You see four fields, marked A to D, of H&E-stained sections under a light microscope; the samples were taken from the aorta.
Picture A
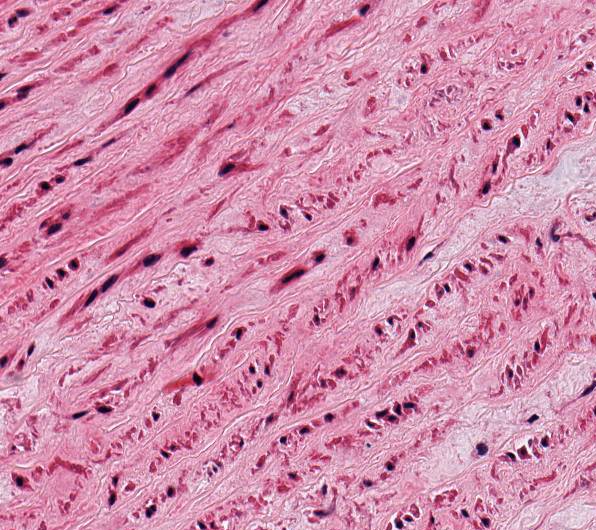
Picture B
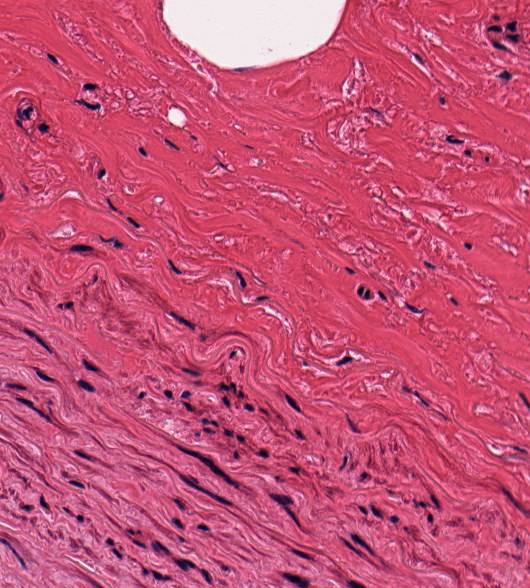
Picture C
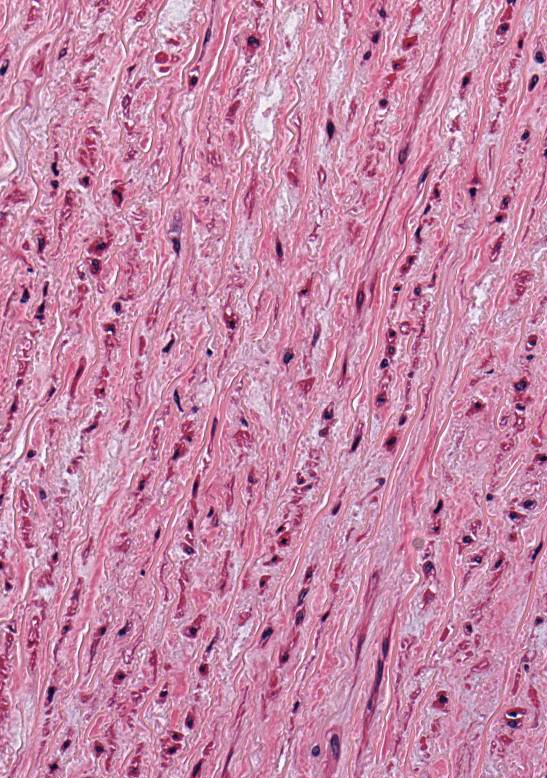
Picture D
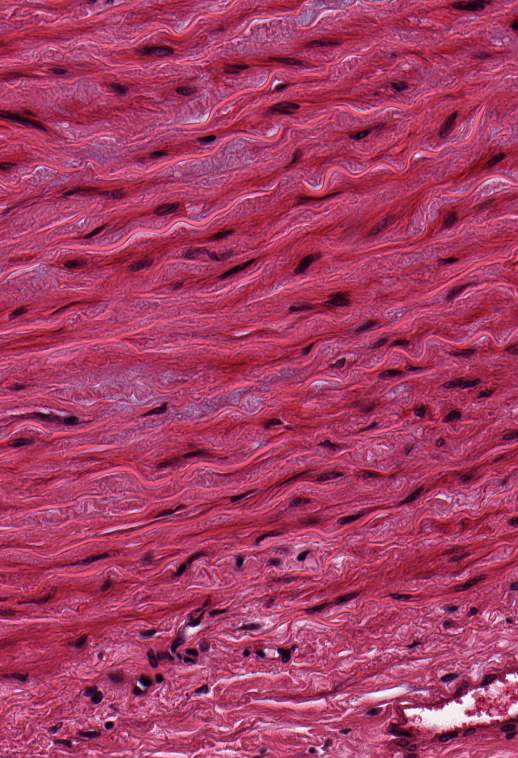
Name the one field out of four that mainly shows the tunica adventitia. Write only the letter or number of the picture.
B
